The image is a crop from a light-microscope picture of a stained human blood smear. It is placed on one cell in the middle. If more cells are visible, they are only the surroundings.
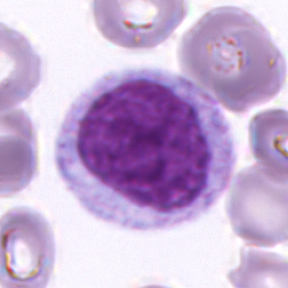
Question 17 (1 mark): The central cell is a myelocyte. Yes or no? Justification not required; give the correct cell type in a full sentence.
Yes, the cell shown centrally is a myelocyte.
